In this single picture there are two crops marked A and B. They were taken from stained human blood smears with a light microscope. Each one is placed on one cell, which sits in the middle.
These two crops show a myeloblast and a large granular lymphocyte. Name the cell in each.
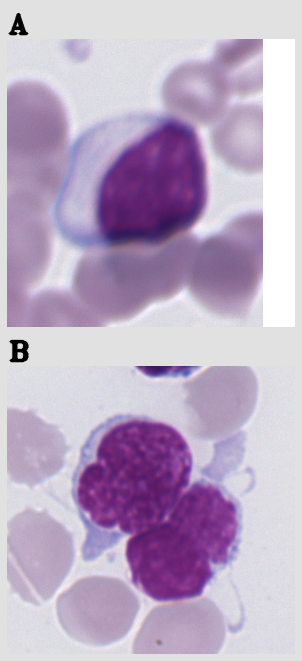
A: large granular lymphocyte
B: myeloblast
